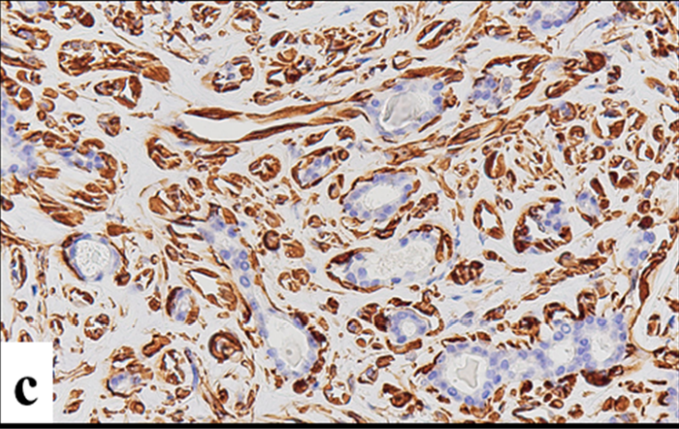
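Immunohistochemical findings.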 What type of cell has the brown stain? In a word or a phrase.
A: Outer layer of cells and polygonal and spindle cells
